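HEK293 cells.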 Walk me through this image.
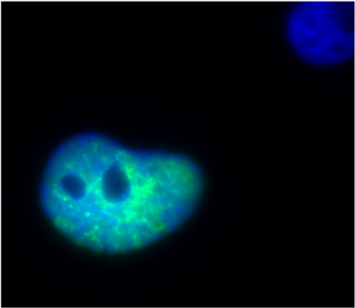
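A single large bean-shaped interphase nucleus fills the left of the field, blue throughout and speckled with green dots and patches. Two round dark holes lie left of centre, lacking both blue and green, as nucleoli do. The green follows the outline of the nucleus and does not spill into the surrounding dark area. A second nucleus at the top right edge is blue only, without green. The green signal is thus confined to the nucleus of one cell.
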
